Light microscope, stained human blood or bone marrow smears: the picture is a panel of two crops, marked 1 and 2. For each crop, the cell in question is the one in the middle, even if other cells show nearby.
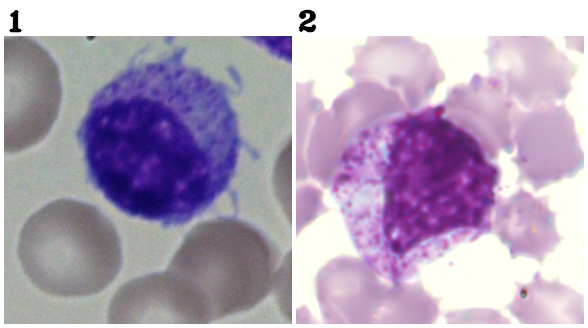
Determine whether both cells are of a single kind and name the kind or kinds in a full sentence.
Yes, both crops have myelocytes as their central cells.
